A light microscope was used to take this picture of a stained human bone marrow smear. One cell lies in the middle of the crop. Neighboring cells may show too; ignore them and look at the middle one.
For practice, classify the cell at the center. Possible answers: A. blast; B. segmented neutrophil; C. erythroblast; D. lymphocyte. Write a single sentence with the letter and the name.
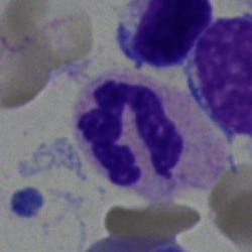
Option B is correct, and the cell in the centre is a segmented neutrophil.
